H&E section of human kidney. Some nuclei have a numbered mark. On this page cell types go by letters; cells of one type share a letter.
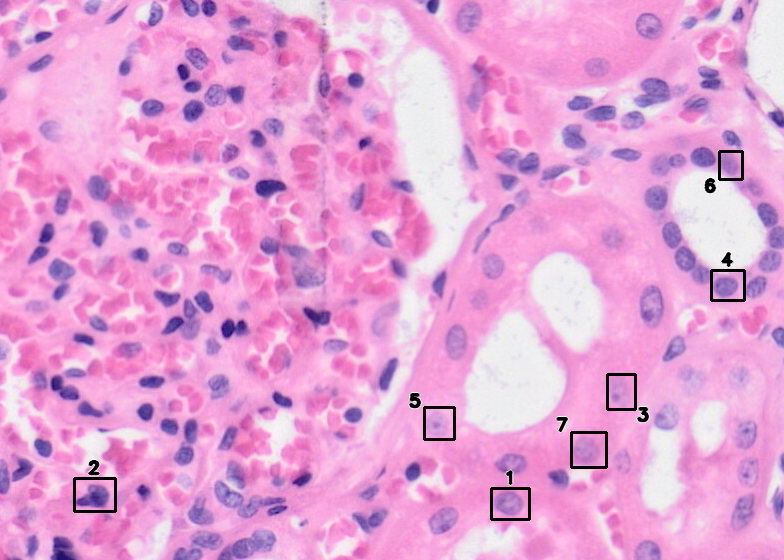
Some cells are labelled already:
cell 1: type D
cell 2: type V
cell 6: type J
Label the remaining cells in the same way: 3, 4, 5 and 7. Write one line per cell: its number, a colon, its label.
3: type D
4: type J
5: type D
7: type D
